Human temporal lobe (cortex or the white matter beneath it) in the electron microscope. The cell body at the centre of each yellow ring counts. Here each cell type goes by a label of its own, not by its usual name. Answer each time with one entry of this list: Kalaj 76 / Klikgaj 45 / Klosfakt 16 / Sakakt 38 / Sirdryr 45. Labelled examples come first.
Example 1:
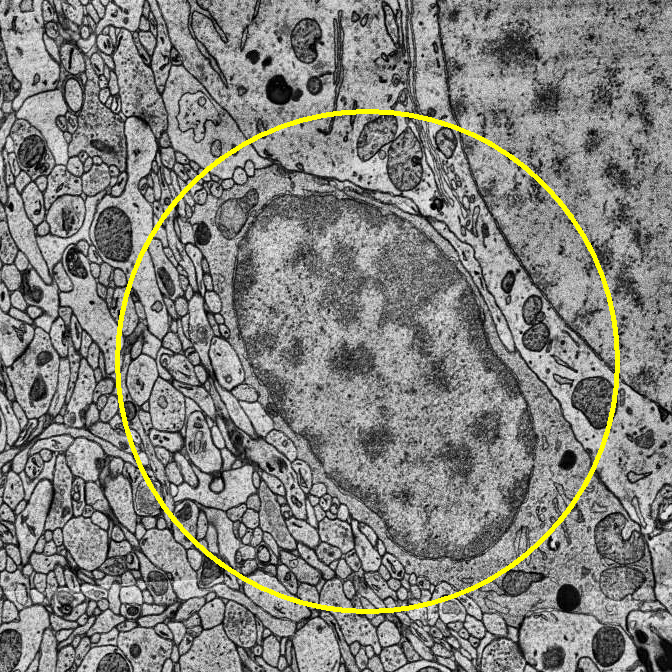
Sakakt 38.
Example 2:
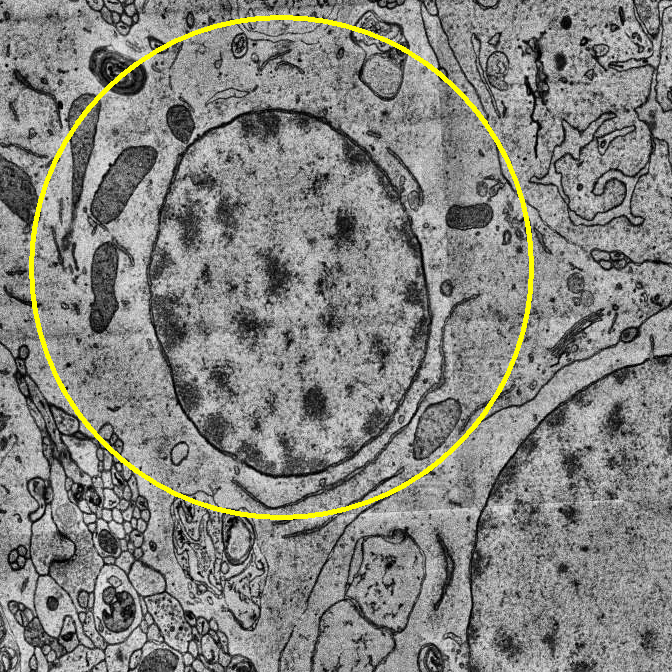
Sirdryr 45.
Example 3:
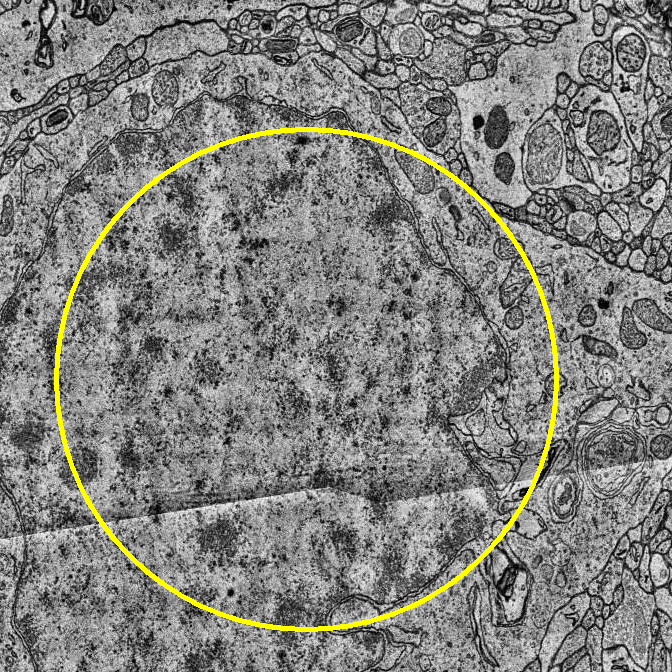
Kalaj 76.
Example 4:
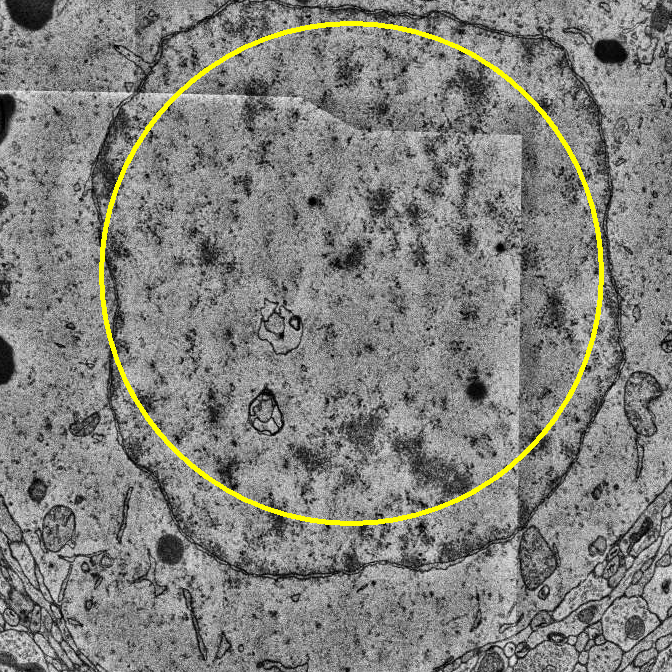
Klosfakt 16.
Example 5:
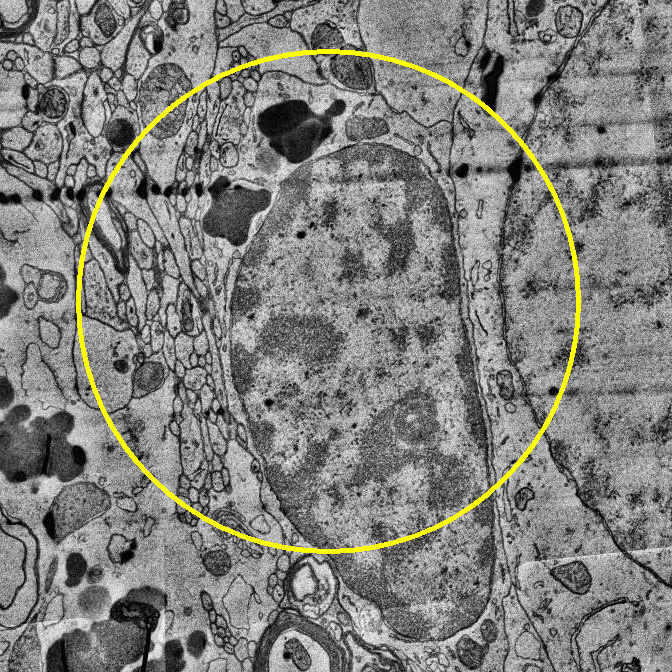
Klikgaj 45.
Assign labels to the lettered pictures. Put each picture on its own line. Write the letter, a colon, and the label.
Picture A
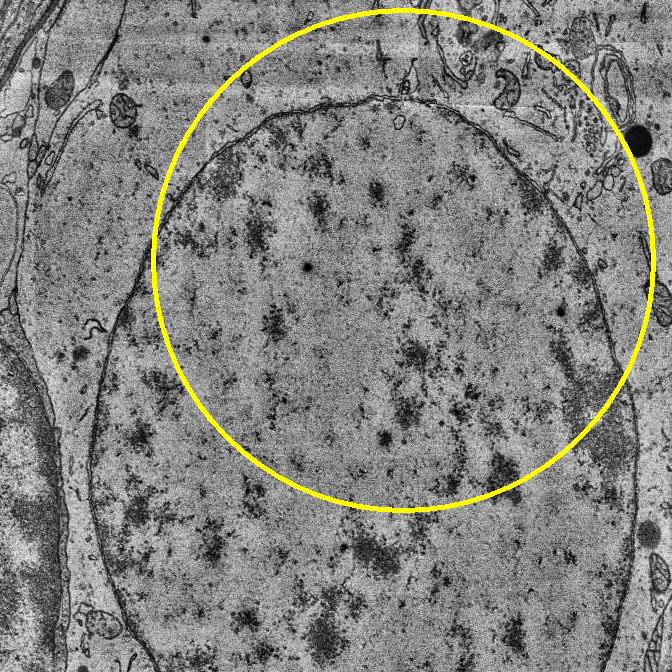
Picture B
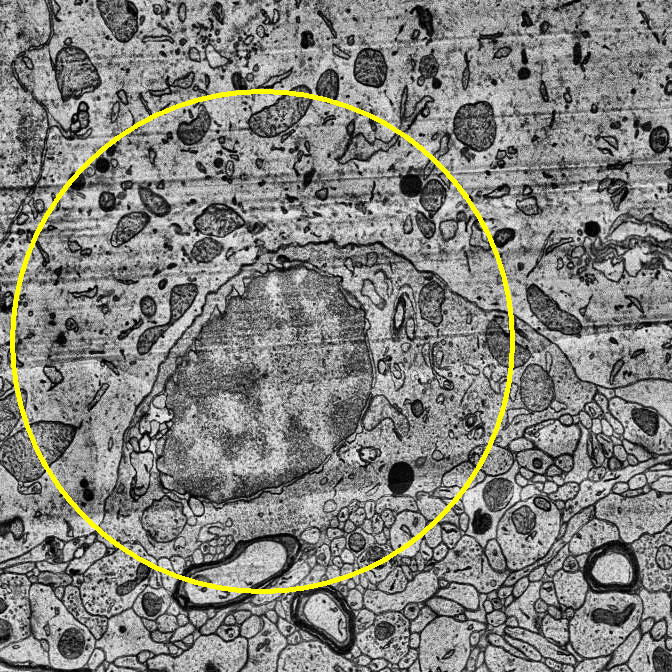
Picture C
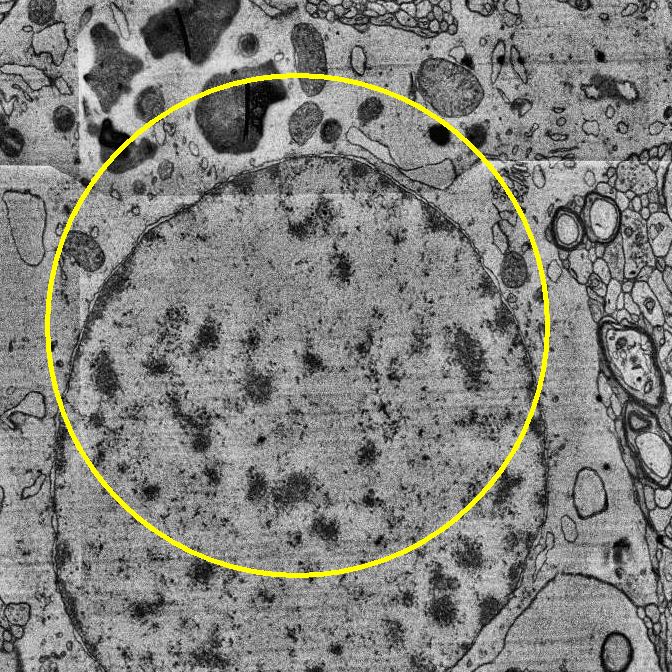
A: Klosfakt 16.
B: Sakakt 38.
C: Sirdryr 45.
